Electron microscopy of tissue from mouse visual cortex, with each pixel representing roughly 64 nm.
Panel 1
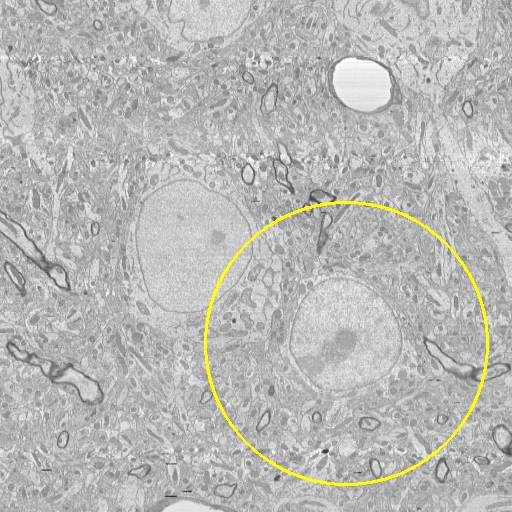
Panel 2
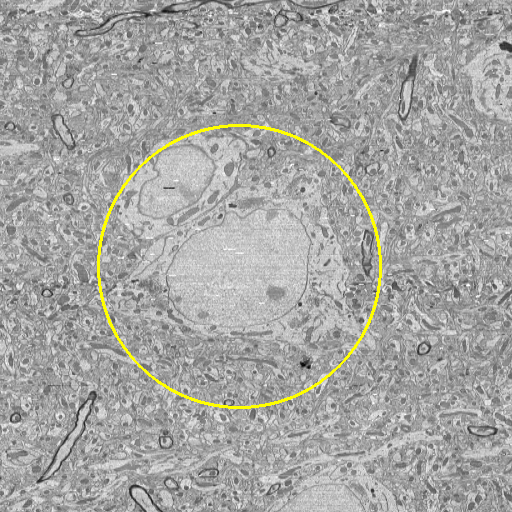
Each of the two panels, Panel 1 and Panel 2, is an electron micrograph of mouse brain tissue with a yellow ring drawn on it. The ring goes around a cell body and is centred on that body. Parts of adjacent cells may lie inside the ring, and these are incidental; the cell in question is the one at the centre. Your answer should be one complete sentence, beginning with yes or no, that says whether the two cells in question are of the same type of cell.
No, the two cells are of two types.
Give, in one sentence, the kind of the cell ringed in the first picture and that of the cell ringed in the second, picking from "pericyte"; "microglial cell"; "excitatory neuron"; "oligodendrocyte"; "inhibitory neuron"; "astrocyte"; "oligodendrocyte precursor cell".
For the first picture it is an astrocyte; for the second, an excitatory neuron.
